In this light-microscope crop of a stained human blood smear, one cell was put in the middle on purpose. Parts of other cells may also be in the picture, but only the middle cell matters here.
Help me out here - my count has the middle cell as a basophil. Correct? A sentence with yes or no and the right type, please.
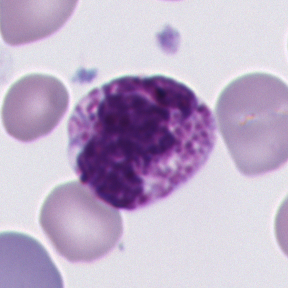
Yes, as for the central cell, it is a basophil.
